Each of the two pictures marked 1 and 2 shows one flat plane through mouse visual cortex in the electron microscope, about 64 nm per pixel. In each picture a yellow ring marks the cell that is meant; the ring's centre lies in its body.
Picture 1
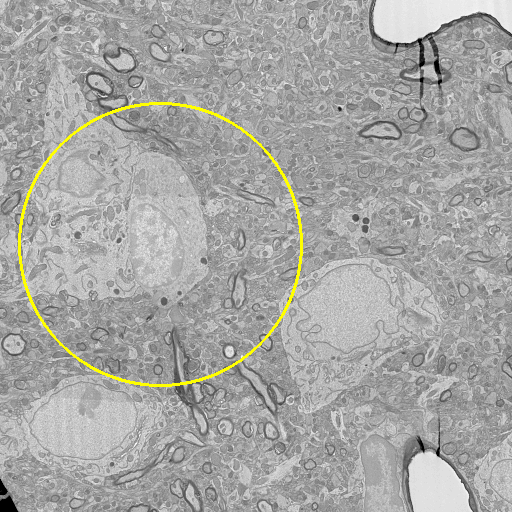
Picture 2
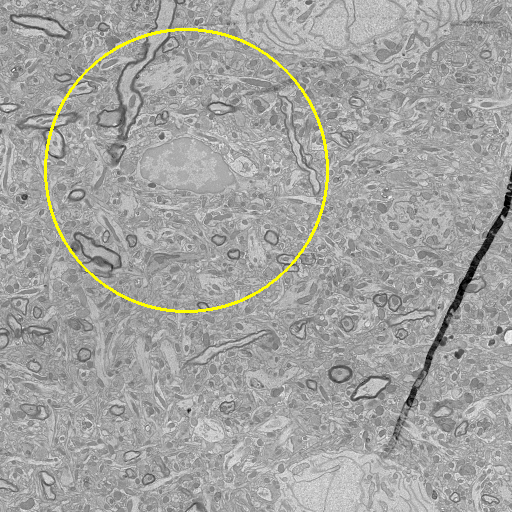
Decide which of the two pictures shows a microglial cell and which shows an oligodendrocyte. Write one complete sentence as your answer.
In picture 1 the cell is an oligodendrocyte; in picture 2, a microglial cell.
